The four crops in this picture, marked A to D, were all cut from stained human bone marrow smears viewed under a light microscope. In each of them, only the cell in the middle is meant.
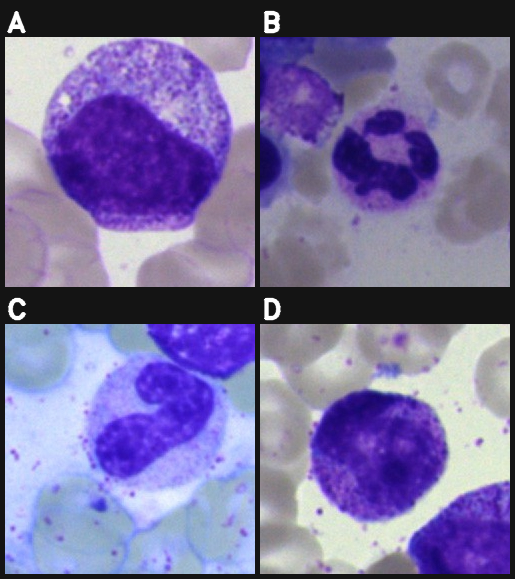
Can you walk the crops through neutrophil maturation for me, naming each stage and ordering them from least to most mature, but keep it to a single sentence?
The stages, ordered from least to most mature, are crop A (a myelocyte), crop D (a metamyelocyte), crop C (a band neutrophil) and crop B (a segmented neutrophil).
